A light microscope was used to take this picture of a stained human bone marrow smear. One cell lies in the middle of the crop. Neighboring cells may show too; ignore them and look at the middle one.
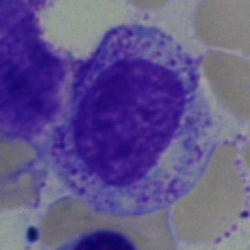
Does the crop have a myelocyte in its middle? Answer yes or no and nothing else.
yes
